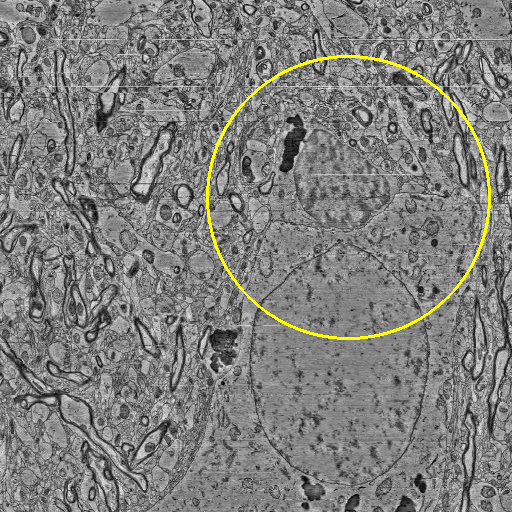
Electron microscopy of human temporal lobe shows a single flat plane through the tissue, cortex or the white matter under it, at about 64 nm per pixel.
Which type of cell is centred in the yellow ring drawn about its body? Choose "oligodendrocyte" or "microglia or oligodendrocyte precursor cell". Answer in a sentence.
The yellow ring surrounds the cell body of an oligodendrocyte.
